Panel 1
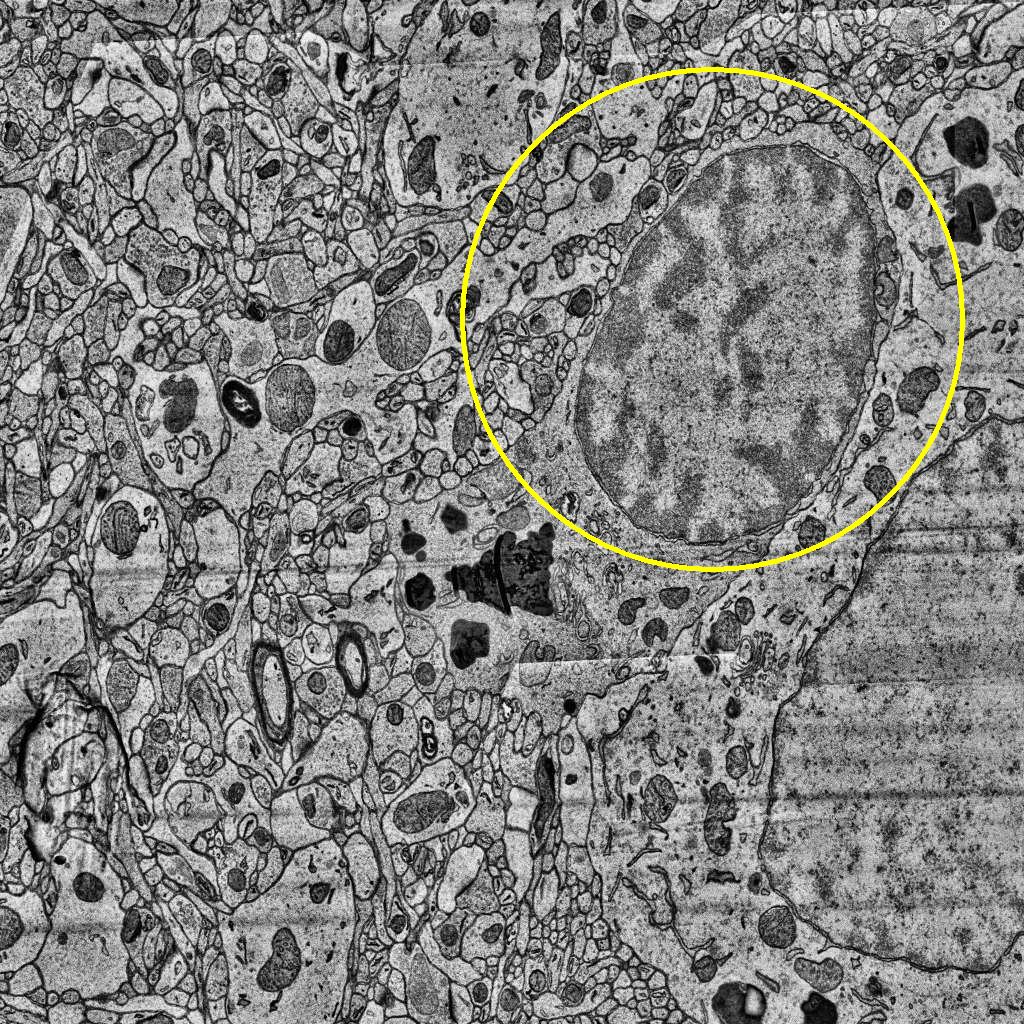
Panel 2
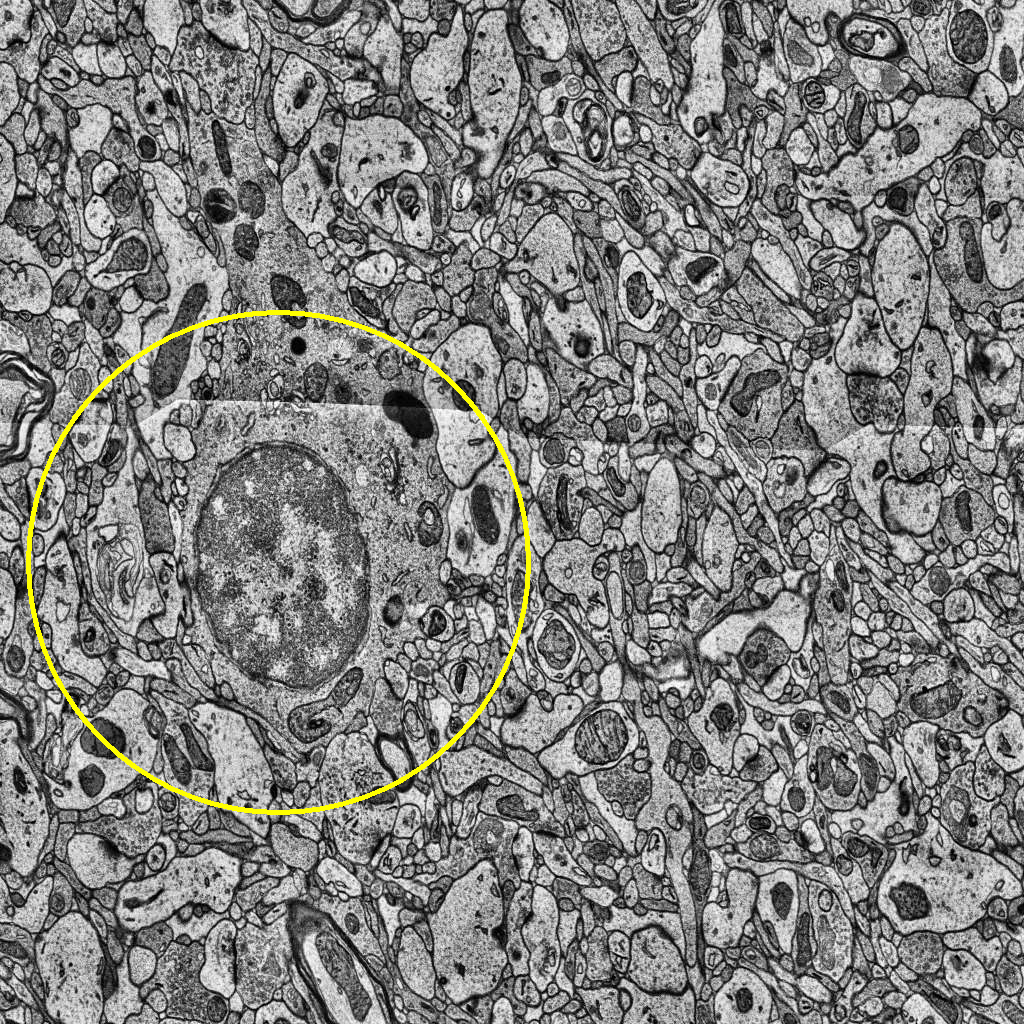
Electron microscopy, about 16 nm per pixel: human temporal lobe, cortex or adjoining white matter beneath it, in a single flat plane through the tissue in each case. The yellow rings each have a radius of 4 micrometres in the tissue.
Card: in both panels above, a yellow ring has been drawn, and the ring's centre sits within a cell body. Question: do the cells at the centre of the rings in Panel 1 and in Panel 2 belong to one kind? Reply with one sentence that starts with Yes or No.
Yes, the cells at the ring centres of Panel 1 and Panel 2 are one kind of cell.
